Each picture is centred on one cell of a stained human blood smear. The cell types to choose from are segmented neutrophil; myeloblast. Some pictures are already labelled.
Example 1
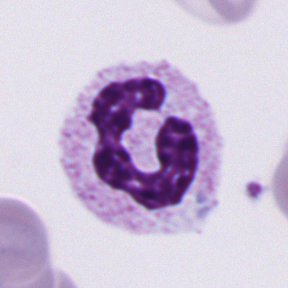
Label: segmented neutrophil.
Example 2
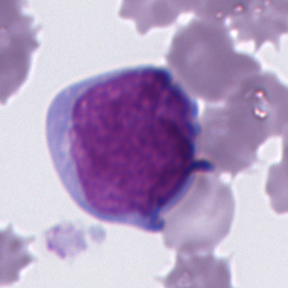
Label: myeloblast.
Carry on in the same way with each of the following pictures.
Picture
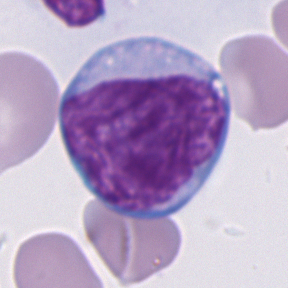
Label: myeloblast.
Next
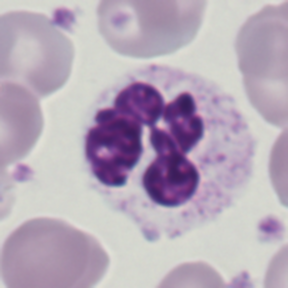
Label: segmented neutrophil.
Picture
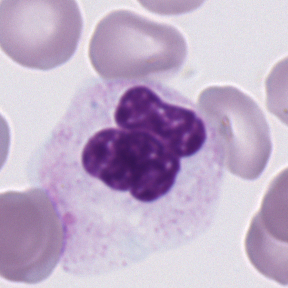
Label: segmented neutrophil.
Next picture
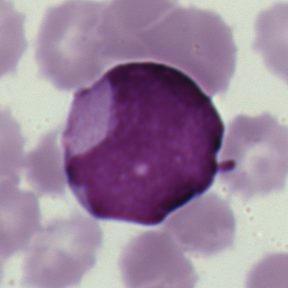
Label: myeloblast.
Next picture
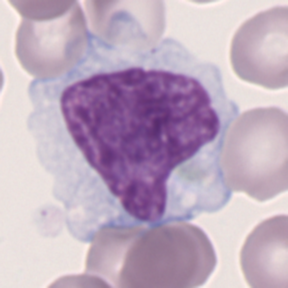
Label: myeloblast.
